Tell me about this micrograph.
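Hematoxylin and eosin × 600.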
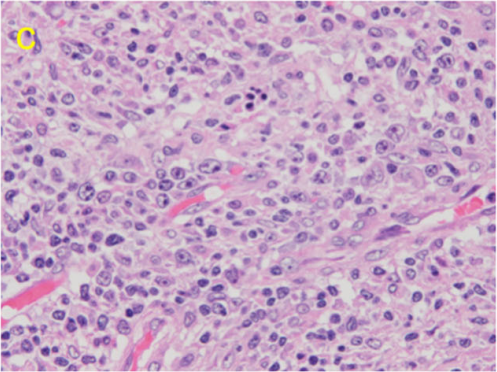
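A dense, diffuse infiltrate of large lymphoid cells fills the tissue, with no normal architecture left in view. The cells are large, with round to oval or irregular nuclei, vesicular chromatin and often distinct nucleoli, surrounded by a moderate rim of pale pink cytoplasm. Smaller dark lymphocytes are scattered among them. Thin vessels with red blood cells run through the sheet, and the background is loose and slightly edematous.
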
